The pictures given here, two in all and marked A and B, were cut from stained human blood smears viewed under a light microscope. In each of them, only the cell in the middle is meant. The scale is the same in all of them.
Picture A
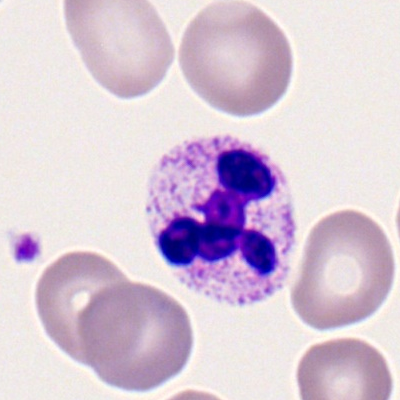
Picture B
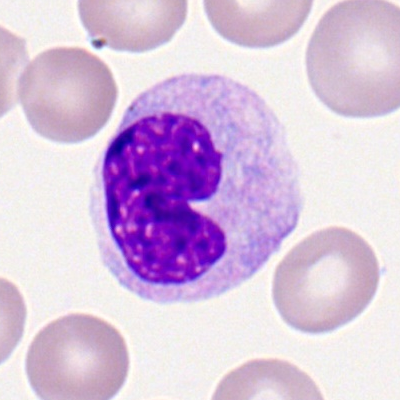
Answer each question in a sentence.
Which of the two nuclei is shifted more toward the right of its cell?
The nucleus in picture A lies further toward the right of its cell.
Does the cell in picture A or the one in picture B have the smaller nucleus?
Smaller is the nucleus in picture A, and the other is about 2 times as large in area.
